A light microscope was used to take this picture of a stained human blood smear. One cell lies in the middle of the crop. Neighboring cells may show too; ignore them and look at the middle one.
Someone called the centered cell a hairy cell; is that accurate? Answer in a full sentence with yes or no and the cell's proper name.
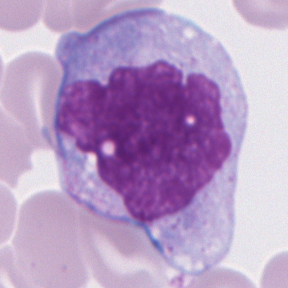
No, this is not a hairy cell at all; the cell in the middle is a monocyte.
